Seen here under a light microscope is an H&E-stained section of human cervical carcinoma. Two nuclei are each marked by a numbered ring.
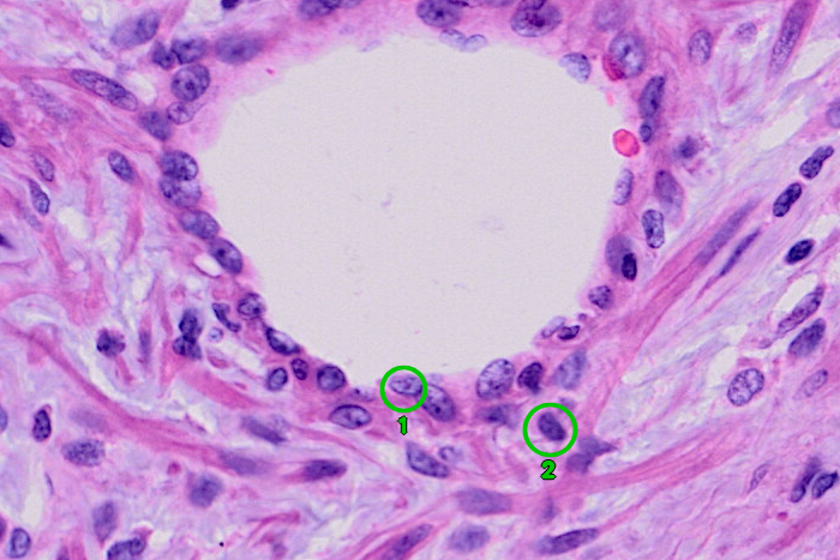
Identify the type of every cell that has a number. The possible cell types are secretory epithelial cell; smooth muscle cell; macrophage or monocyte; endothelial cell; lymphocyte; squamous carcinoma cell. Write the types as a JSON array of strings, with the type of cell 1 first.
["endothelial cell", "lymphocyte"]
